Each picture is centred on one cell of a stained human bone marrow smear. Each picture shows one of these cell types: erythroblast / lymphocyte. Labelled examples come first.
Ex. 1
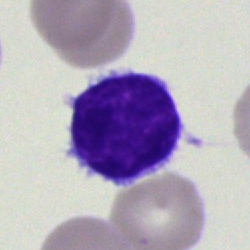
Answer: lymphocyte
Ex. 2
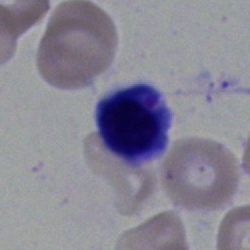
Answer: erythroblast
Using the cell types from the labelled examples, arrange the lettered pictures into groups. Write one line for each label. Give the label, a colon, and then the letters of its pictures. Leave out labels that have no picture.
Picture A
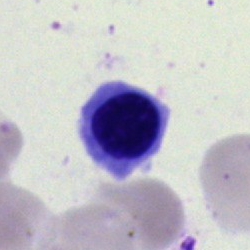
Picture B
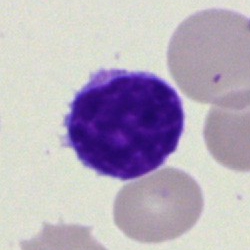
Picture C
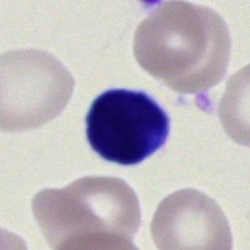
erythroblast: A
lymphocyte: B, C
